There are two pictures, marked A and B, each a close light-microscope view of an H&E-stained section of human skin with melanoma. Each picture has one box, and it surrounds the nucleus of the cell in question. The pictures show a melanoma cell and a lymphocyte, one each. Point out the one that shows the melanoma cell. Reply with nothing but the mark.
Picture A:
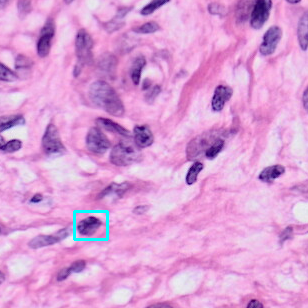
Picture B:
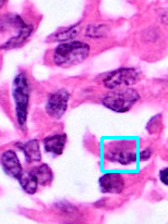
B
